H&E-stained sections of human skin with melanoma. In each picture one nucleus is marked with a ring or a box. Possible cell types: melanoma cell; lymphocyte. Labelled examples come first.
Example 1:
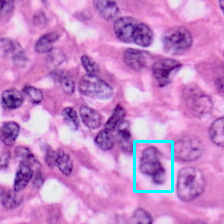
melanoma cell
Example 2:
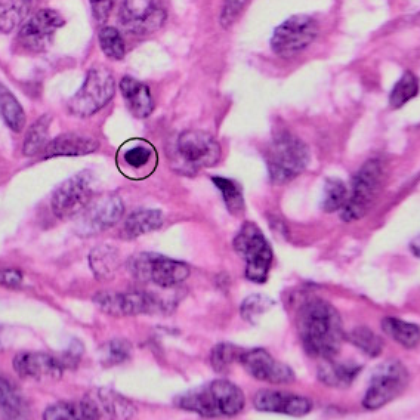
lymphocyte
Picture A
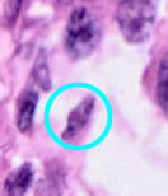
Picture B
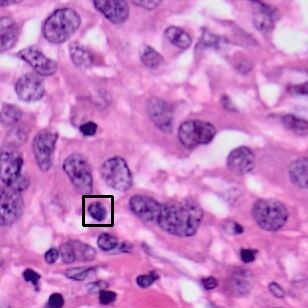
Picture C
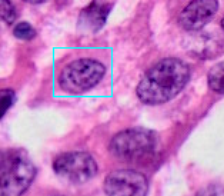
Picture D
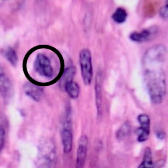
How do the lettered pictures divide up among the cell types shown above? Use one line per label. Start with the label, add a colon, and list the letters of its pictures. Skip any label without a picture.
melanoma cell: A, C
lymphocyte: B, D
